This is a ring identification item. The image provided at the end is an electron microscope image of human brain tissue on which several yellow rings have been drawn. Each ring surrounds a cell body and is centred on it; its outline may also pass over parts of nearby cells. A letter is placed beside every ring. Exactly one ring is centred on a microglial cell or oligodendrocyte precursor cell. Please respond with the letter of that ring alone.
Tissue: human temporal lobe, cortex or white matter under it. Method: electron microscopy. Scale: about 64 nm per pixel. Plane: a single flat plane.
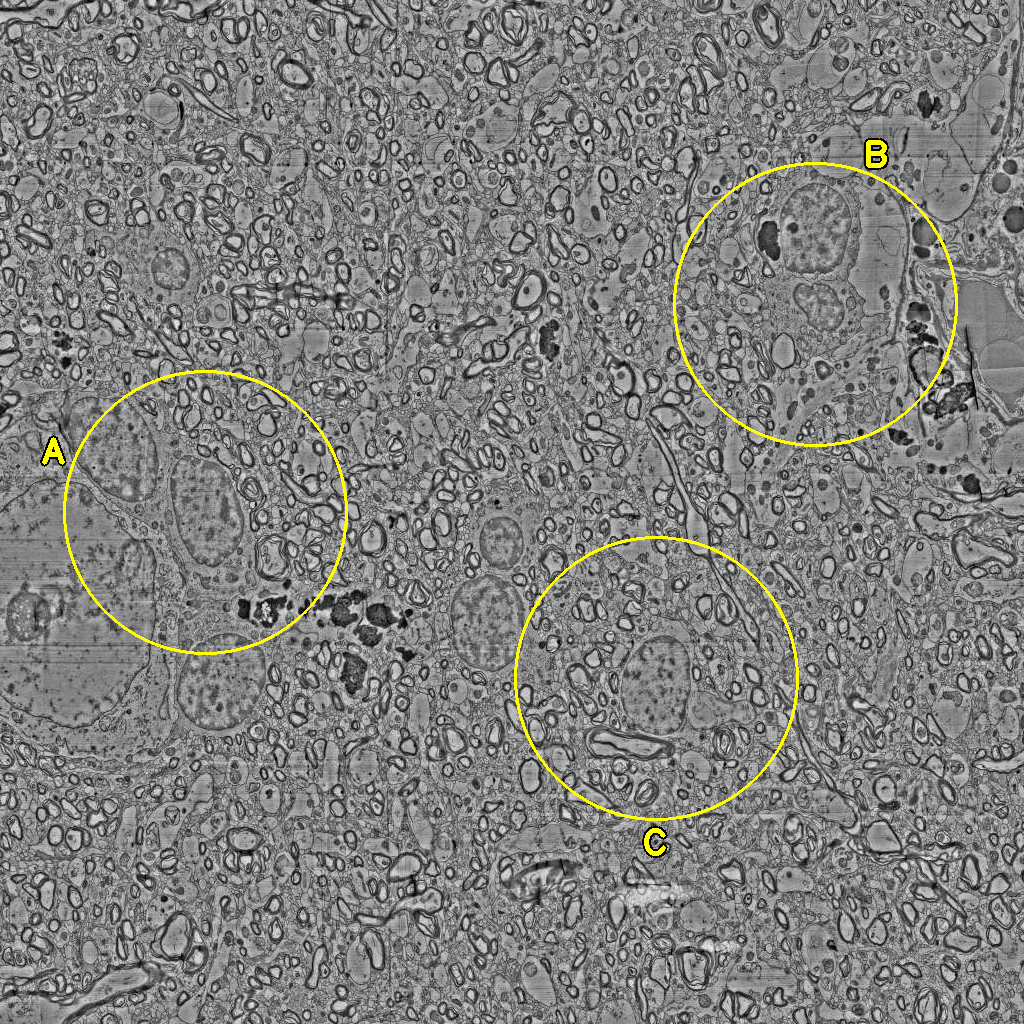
C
